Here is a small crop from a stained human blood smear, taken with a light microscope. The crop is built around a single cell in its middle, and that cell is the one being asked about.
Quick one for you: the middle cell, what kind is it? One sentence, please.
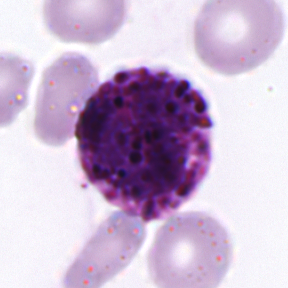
The cell around which this crop is centred is a basophil.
